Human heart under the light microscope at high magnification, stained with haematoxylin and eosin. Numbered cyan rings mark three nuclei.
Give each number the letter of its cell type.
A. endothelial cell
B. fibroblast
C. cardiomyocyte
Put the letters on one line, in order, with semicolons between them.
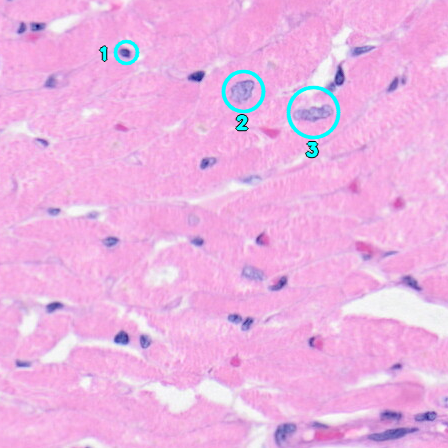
A; C; C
